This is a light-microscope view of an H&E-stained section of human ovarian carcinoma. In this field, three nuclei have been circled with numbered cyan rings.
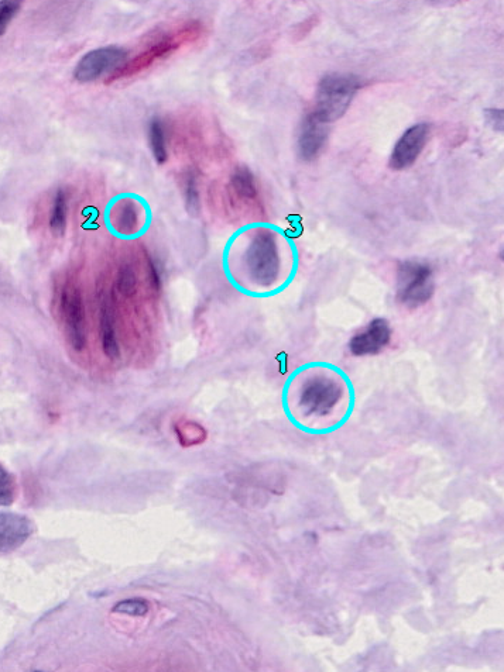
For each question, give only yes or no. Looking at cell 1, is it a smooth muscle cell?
no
